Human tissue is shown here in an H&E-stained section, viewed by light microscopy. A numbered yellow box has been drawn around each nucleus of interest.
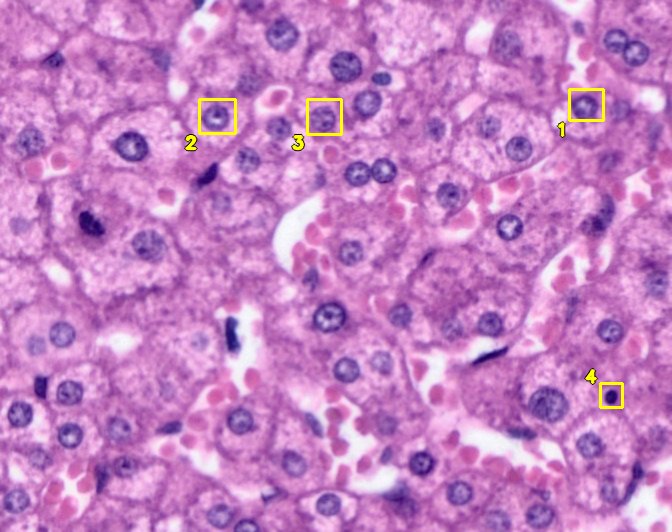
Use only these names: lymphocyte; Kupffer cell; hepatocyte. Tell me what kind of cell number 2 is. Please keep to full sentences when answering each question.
The numeral 2 marks a hepatocyte in this section.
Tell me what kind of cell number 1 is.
In the marked set, the cell given number 1 is a hepatocyte.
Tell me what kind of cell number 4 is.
At number 4, the marked cell is a lymphocyte.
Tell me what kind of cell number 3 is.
The cell referred to as 3 is a hepatocyte.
